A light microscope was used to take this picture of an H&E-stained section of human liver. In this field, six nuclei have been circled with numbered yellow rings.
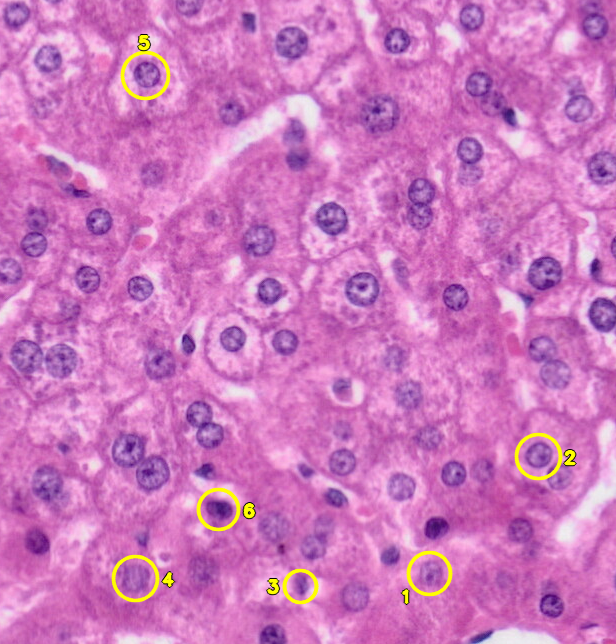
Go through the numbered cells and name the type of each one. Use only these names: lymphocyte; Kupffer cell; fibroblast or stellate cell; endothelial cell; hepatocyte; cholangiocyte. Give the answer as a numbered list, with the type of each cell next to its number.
1. hepatocyte
2. hepatocyte
3. endothelial cell
4. hepatocyte
5. hepatocyte
6. Kupffer cell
